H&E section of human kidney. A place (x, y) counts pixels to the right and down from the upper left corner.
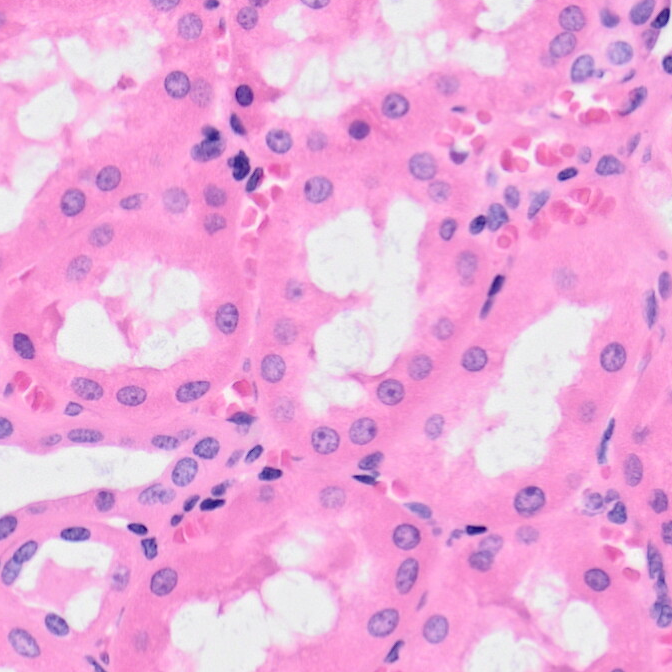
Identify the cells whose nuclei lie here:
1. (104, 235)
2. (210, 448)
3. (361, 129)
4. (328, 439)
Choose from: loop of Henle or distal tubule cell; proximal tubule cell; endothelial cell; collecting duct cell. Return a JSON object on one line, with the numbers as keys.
{"1": "proximal tubule cell", "2": "collecting duct cell", "3": "proximal tubule cell", "4": "proximal tubule cell"}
